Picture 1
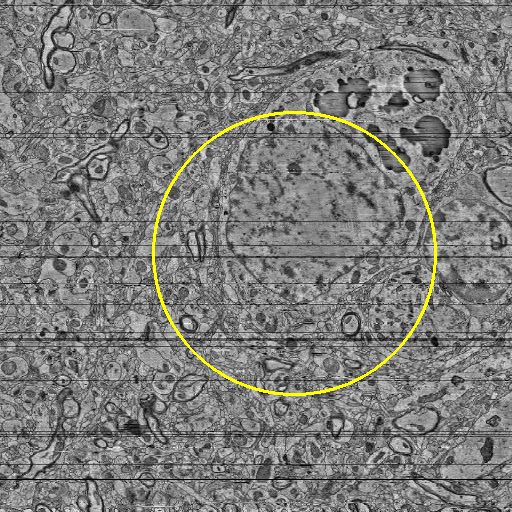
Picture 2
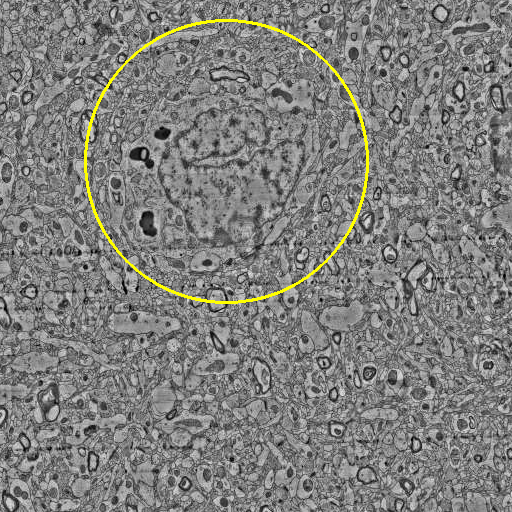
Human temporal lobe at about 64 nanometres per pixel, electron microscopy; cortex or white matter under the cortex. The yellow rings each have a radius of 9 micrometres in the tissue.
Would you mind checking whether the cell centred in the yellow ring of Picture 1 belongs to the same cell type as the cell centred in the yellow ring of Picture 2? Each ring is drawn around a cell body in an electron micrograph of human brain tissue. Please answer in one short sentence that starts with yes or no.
Yes, both cells are of the same type.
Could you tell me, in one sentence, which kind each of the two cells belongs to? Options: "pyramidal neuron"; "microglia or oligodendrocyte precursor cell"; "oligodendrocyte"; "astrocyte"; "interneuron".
The cell at the ring centre is an interneuron in both pictures.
